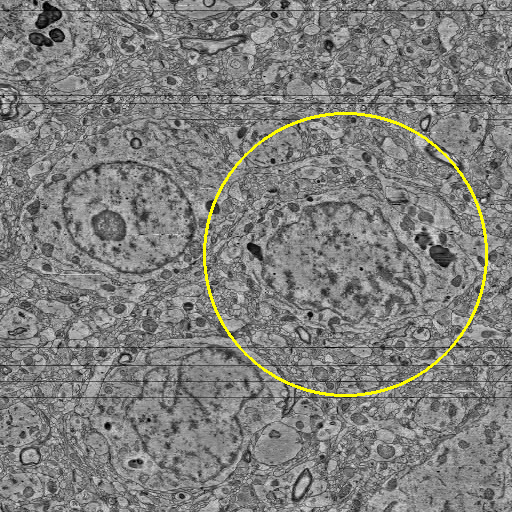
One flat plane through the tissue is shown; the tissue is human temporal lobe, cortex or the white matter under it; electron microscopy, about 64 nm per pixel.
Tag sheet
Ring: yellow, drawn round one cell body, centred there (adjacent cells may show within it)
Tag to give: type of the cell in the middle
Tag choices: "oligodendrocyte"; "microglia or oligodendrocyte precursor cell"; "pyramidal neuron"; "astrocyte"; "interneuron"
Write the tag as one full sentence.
I tag the cell centred in the yellow ring as an interneuron in this picture.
